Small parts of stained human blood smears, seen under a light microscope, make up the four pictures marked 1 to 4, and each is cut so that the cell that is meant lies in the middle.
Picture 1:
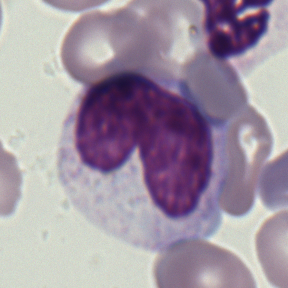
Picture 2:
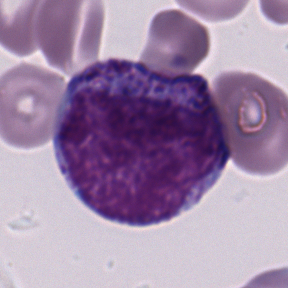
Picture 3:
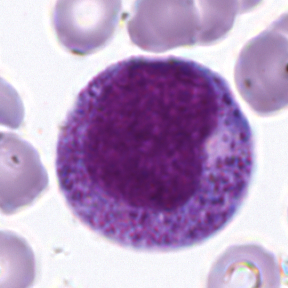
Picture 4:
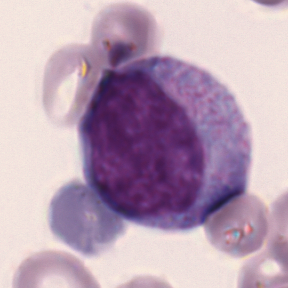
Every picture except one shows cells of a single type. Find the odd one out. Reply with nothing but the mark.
1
